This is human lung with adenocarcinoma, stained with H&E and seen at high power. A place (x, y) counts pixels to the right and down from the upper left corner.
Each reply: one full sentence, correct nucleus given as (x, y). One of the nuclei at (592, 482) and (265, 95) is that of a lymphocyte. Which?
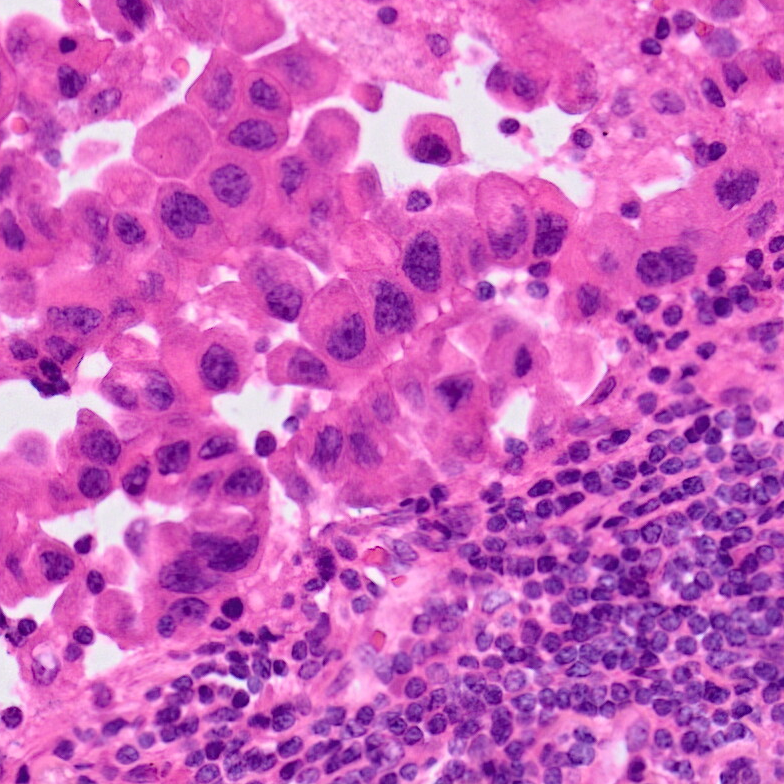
Of the pair, the nucleus positioned at (592, 482) is that of a lymphocyte.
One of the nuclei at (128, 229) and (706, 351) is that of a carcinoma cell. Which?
Among the two nuclei, the one lying at (128, 229) is part of a carcinoma cell.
